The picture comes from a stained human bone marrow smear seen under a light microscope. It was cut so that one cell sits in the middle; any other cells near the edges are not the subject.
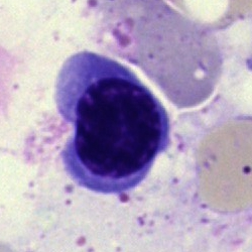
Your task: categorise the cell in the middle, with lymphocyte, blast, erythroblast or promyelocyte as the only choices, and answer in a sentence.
This crop's central cell is an erythroblast.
